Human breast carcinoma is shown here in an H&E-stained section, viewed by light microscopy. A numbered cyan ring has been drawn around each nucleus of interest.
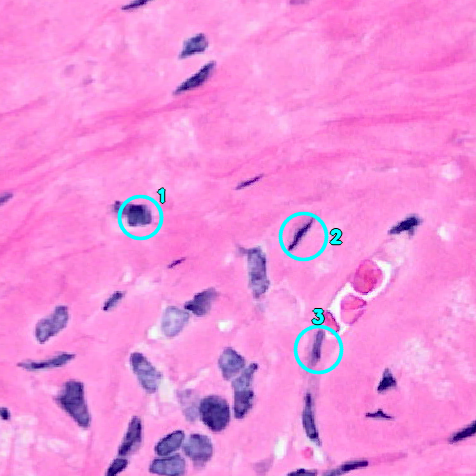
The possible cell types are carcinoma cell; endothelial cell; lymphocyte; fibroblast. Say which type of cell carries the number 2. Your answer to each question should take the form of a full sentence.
Denoted by the label 2 in the section is a fibroblast.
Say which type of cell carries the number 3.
In this section, the cell tagged 3 is an endothelial cell.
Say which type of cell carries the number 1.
The cell that bears the number 1 is a lymphocyte.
